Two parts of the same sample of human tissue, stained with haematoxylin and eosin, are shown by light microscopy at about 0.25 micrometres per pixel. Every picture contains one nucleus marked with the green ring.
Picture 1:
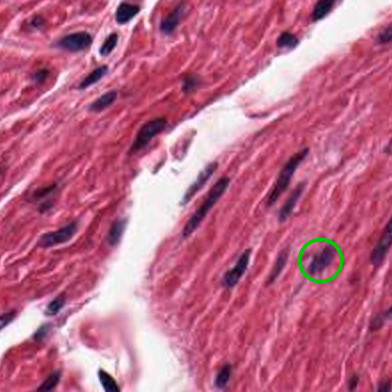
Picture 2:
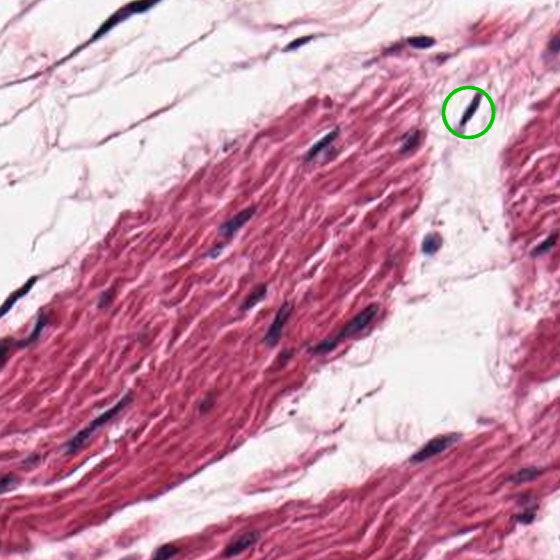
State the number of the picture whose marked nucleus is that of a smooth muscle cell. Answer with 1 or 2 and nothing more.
1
